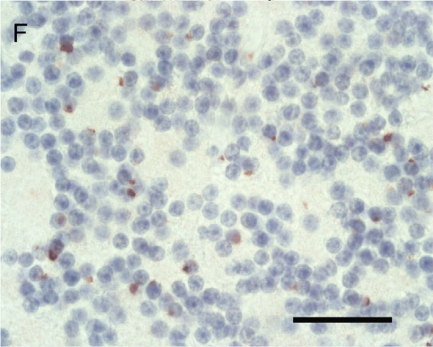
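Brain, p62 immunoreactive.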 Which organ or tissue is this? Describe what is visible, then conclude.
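Cerebellar granule cell layer. Densely packed small round blue nuclei fill the field. Small brown dots lie beside some of the nuclei.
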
